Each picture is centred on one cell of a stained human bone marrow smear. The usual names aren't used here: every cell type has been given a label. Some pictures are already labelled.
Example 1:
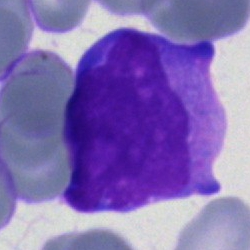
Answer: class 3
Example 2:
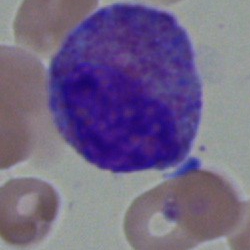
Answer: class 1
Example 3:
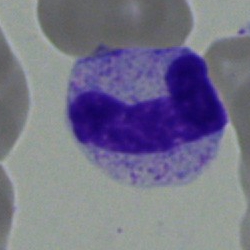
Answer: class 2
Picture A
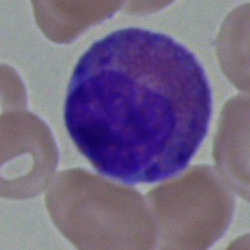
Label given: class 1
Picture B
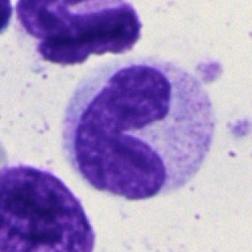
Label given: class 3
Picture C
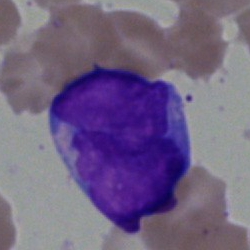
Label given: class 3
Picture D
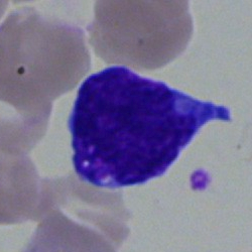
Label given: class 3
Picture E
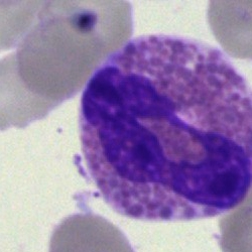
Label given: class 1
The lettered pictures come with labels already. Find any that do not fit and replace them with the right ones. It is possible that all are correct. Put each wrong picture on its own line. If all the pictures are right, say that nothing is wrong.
B is labelled class 3; correct label: class 2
